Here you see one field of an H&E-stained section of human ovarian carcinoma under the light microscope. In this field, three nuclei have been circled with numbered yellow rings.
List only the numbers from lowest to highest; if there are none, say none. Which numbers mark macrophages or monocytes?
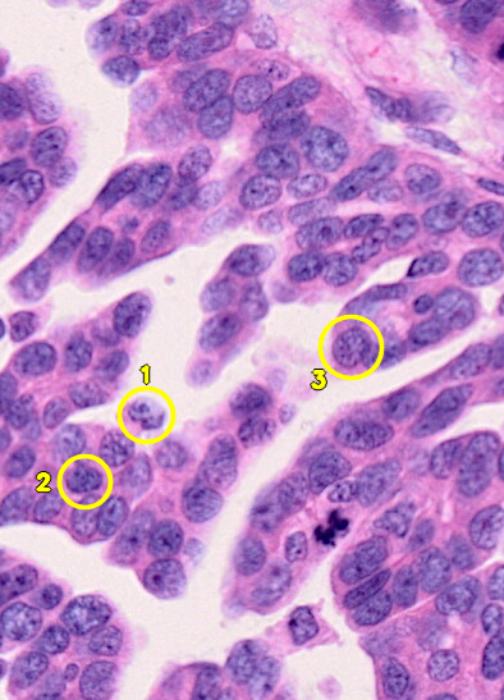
1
